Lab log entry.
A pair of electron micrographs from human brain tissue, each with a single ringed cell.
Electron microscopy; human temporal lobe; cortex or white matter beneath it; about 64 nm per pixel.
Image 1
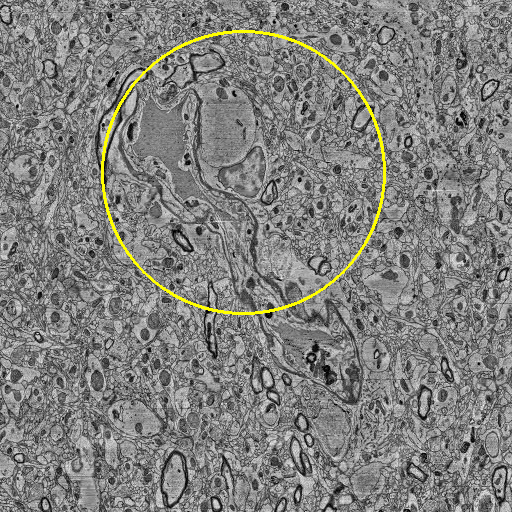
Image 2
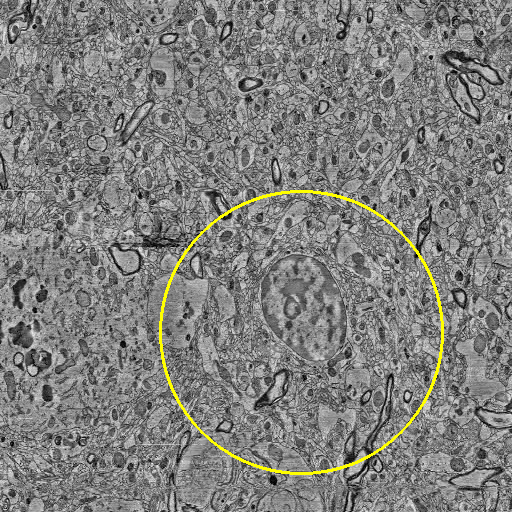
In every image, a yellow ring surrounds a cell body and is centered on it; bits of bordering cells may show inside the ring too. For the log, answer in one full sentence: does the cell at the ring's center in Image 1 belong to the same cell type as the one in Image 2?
Yes, the cells at the ring centers in Image 1 and Image 2 share one type.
